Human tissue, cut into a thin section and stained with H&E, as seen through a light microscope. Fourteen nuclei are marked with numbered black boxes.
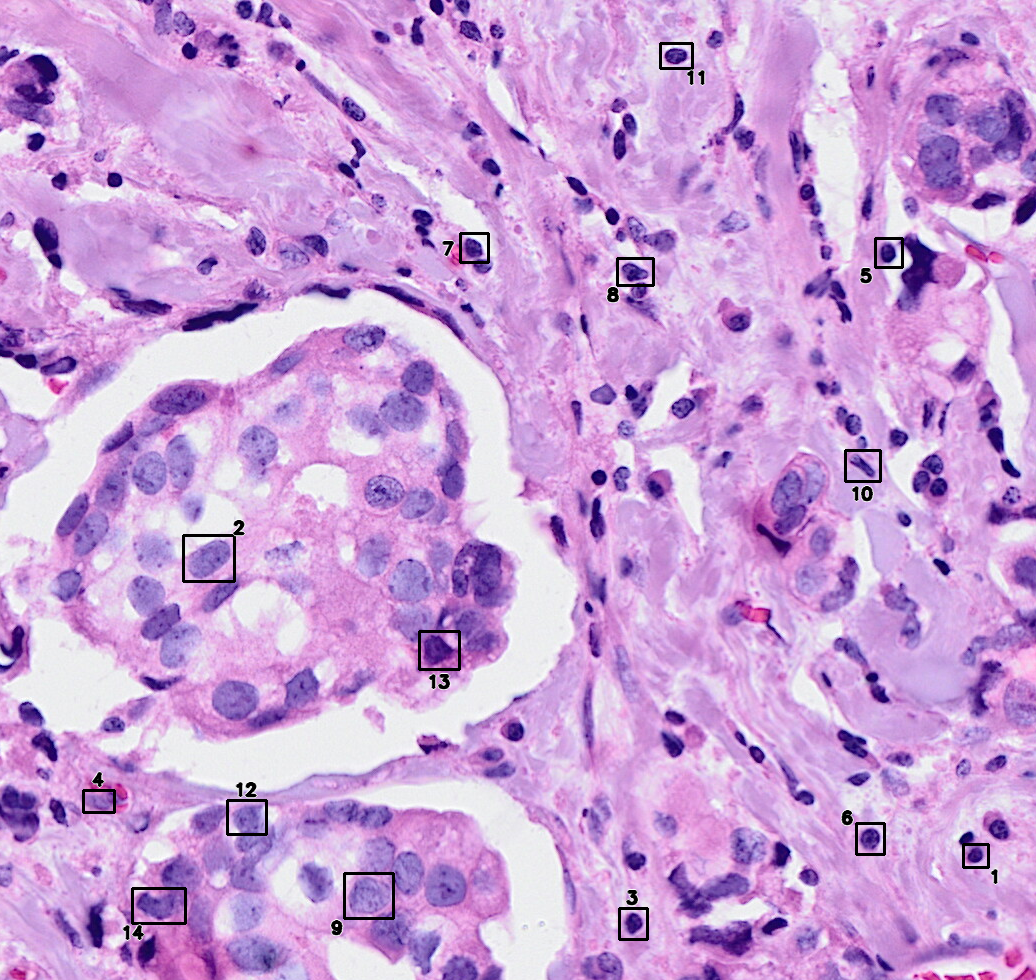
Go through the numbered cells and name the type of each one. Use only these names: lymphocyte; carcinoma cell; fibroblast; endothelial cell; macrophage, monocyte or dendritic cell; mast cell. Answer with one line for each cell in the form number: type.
1: lymphocyte
2: carcinoma cell
3: lymphocyte
4: endothelial cell
5: lymphocyte
6: lymphocyte
7: lymphocyte
8: lymphocyte
9: carcinoma cell
10: lymphocyte
11: lymphocyte
12: carcinoma cell
13: carcinoma cell
14: carcinoma cell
